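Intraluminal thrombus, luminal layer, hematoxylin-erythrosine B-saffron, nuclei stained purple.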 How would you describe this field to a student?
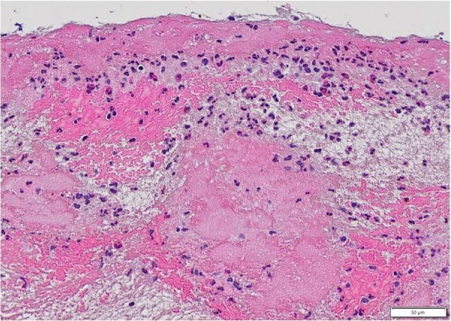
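The cells crowd along bands just beneath the smooth upper surface and along pale, loose streaks, while denser pink strands separate these zones. Deeper down the material is more compact and holds fewer cells.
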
